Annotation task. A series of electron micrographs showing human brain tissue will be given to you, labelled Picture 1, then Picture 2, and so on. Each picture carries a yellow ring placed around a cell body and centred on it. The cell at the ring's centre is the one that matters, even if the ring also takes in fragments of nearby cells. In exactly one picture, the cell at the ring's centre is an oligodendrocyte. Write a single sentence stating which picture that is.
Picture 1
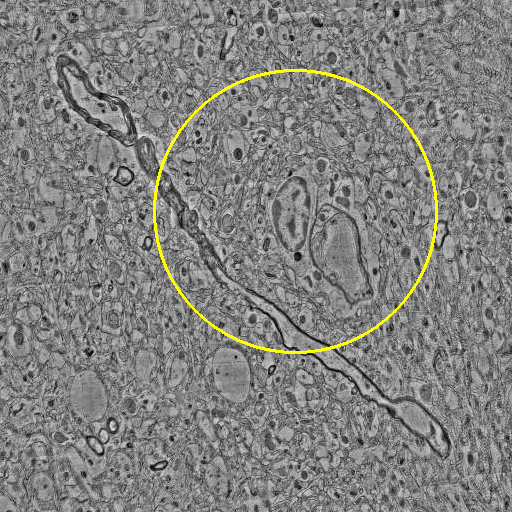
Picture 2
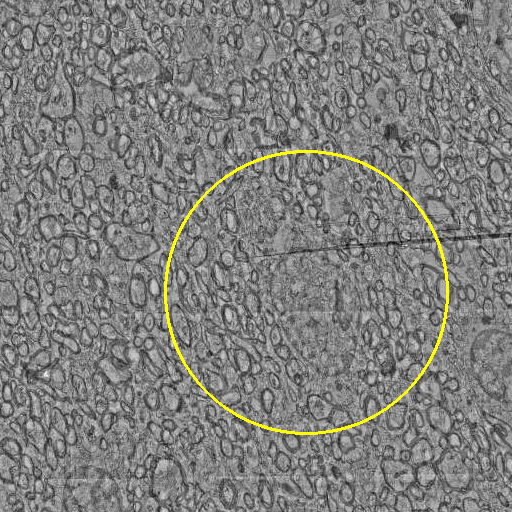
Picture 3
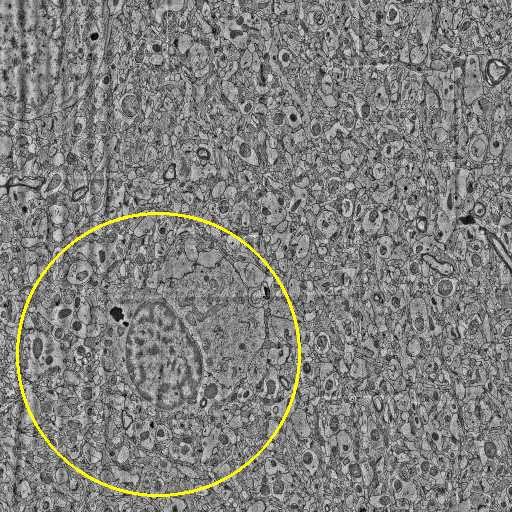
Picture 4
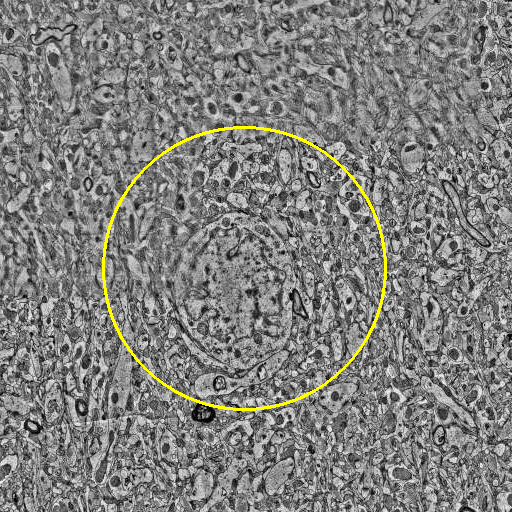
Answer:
Picture 3 holds the requested cell at the very centre of its ring.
